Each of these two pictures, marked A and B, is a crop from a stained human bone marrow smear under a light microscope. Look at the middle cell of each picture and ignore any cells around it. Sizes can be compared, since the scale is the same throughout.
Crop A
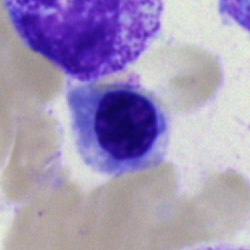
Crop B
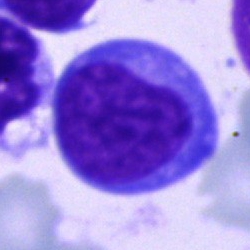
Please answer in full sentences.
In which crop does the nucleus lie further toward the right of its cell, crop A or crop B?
Seen within its cell, the nucleus in crop A lies further toward the right.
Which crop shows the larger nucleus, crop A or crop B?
Larger is the nucleus in crop B, at roughly 4 times the area of the other.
